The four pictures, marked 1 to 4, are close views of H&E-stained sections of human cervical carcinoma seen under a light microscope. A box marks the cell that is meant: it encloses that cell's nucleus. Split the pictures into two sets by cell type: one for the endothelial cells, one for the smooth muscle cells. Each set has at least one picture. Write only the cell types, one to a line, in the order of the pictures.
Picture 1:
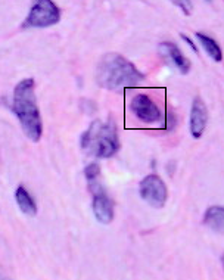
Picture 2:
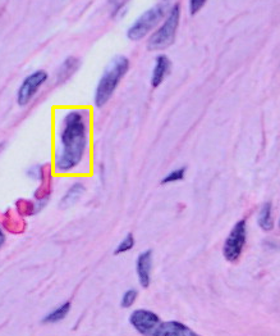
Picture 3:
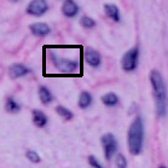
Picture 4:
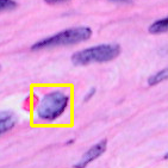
endothelial cell
endothelial cell
smooth muscle cell
endothelial cell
